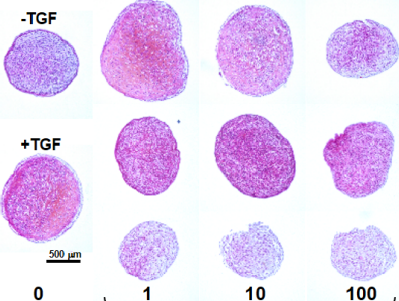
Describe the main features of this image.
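Low-magnification sections of round to oval cell aggregates, each shown whole. The matrix stains from deep pink-red to pale bluish-purple, and some aggregates are almost uniformly pink-red while others are mostly purple. Cells are densely packed throughout, with their nuclei visible as fine dark speckling. The aggregates differ markedly in size, and the smaller ones tend to stain more palely.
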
